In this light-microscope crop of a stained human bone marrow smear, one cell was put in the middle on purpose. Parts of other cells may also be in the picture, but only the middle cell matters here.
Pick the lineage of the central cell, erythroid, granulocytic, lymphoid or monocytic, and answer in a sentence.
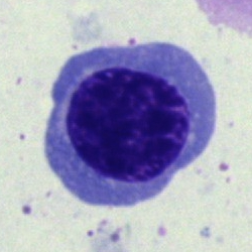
Recorded as erythroid in lineage is the cell in the middle of the crop.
